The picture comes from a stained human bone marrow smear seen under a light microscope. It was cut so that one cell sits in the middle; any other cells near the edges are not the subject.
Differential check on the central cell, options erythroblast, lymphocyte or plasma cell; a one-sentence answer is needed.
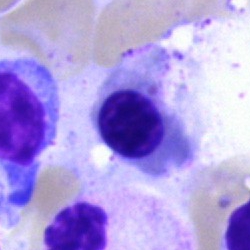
The central cell shown in this smear crop is an erythroblast.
